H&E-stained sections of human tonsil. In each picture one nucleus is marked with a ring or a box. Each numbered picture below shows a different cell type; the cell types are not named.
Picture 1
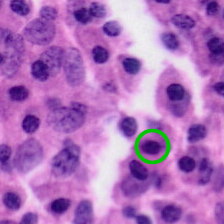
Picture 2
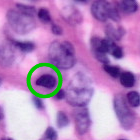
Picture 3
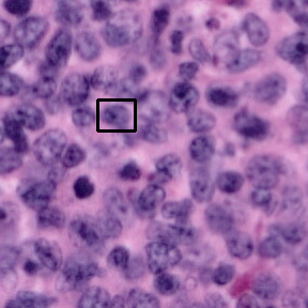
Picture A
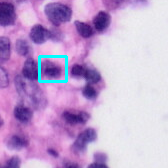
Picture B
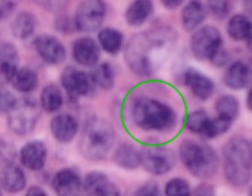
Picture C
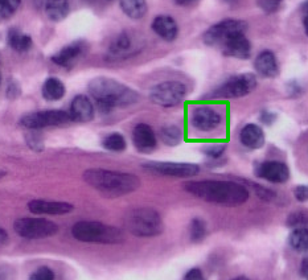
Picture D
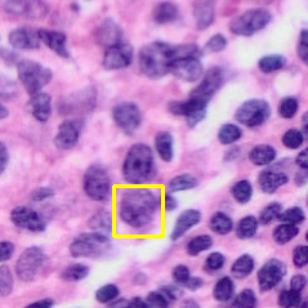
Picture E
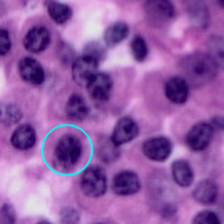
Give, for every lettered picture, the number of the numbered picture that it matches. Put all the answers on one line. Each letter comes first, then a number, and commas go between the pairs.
A 3, B 3, C 1, D 3, E 1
